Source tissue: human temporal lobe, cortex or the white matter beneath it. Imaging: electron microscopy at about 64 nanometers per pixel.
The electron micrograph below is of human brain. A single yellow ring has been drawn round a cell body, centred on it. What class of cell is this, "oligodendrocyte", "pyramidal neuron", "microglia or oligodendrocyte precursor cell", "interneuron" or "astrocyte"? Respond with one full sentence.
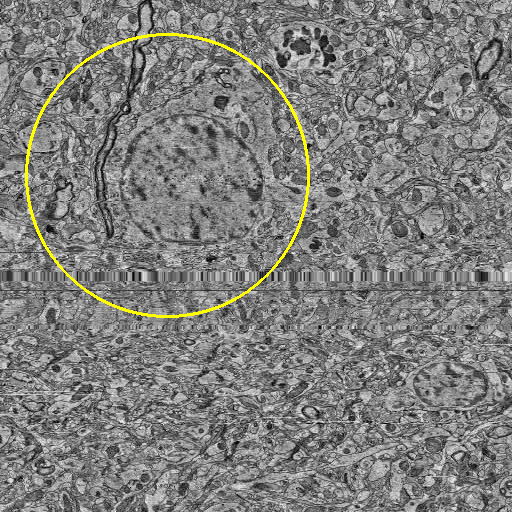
In the micrograph, the cell centred inside the yellow ring is an astrocyte.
